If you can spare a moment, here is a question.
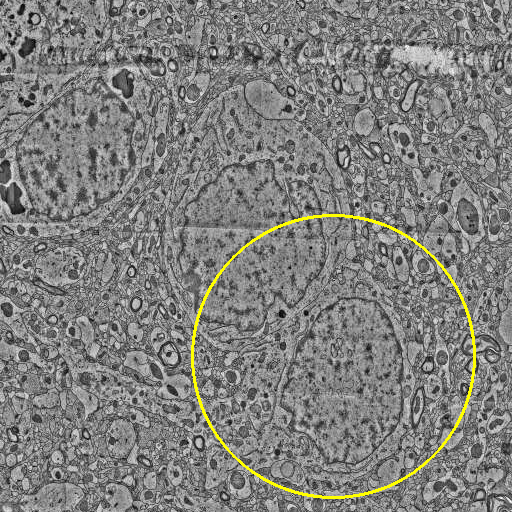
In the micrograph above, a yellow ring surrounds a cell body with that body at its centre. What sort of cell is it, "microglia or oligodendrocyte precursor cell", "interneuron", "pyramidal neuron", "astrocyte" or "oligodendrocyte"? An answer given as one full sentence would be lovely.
Centred inside the yellow ring, the cell body shown belongs to an interneuron in this micrograph.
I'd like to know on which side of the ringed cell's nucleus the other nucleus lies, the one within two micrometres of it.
That second nucleus is to the upper left of it.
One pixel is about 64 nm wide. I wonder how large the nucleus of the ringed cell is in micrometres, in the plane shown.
In this plane, approximately 11 by 8 micrometers.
